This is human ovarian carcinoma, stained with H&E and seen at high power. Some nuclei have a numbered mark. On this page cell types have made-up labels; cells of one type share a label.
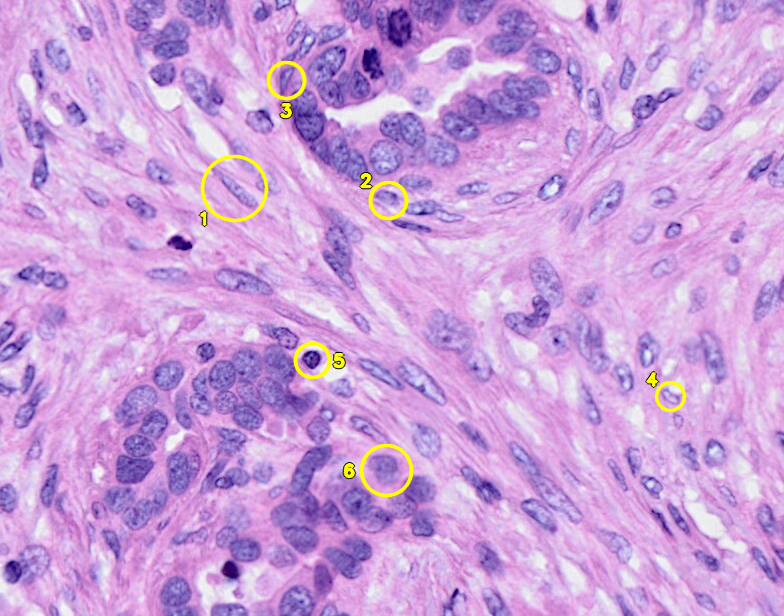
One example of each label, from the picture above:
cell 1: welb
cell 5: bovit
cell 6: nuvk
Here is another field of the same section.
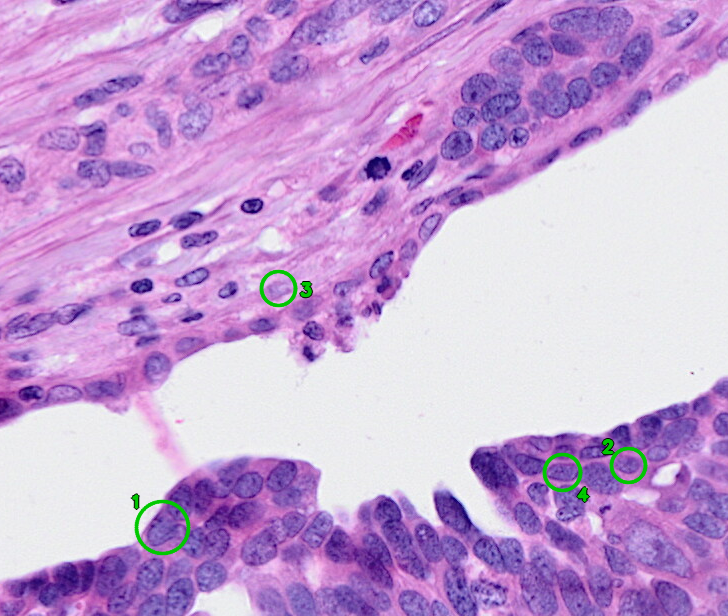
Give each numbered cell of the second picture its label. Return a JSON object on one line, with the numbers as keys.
{"1": "nuvk", "2": "nuvk", "3": "welb", "4": "nuvk"}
